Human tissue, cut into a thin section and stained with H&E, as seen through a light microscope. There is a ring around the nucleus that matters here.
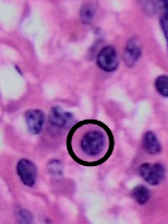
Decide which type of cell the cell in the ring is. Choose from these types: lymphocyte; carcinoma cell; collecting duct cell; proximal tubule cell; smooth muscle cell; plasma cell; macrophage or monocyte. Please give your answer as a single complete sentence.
Considered by cell type, the cell in the ring is a plasma cell.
